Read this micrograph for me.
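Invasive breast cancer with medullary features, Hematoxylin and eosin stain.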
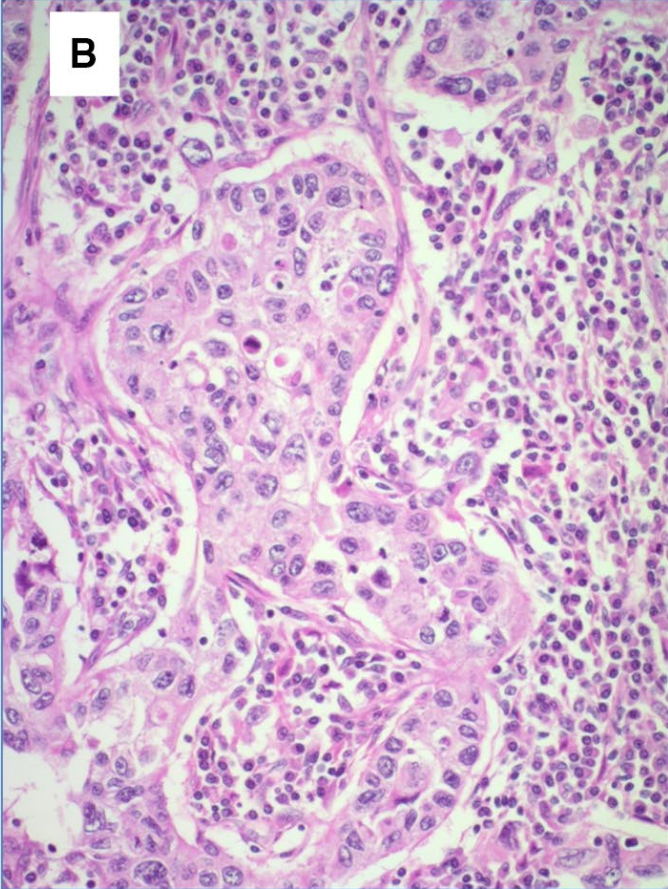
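Nests and sheets of large tumour cells with pale pink cytoplasm and poorly defined borders form syncytial groups, separated by thin strands of fibrous stroma. The tumour nuclei are large and pleomorphic with visible nucleoli, and a few dark condensed cells and small vacuoles lie within the nests. The surrounding stroma is densely filled with small round lymphocytes and plasma cells.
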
